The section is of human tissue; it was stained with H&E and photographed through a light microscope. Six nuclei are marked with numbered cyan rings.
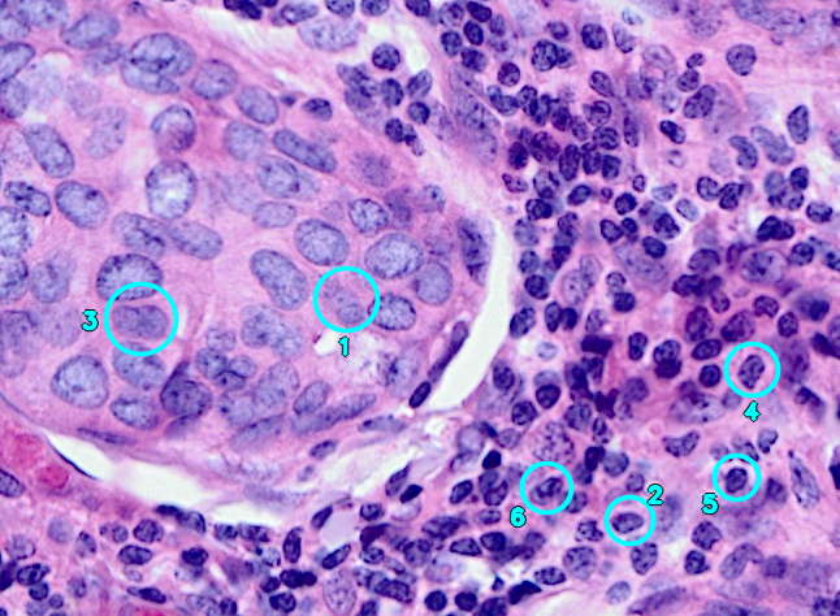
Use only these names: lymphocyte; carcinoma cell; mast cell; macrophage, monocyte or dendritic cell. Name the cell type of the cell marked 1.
carcinoma cell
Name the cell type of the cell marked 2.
lymphocyte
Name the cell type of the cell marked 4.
lymphocyte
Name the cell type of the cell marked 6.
lymphocyte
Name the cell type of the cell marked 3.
carcinoma cell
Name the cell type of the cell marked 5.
lymphocyte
